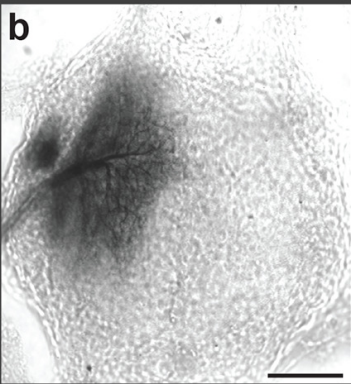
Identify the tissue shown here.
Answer: Ganglion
